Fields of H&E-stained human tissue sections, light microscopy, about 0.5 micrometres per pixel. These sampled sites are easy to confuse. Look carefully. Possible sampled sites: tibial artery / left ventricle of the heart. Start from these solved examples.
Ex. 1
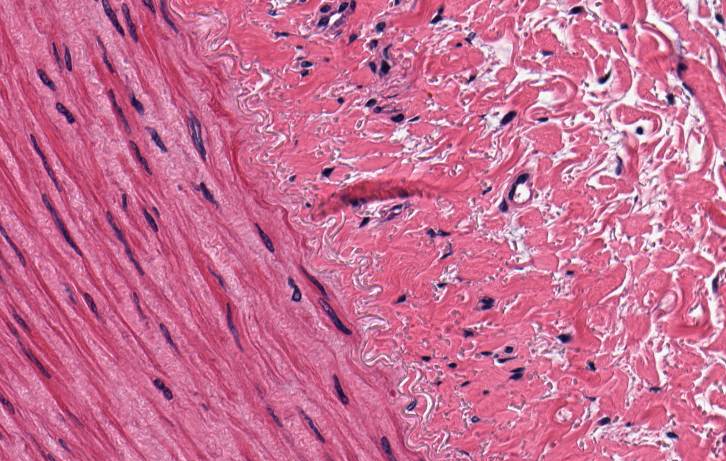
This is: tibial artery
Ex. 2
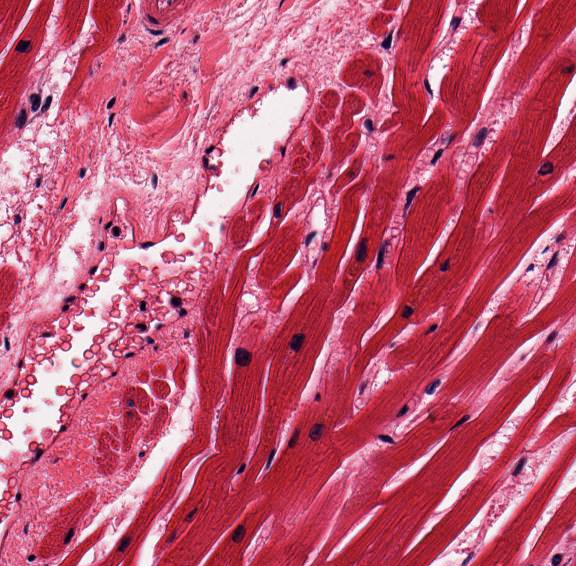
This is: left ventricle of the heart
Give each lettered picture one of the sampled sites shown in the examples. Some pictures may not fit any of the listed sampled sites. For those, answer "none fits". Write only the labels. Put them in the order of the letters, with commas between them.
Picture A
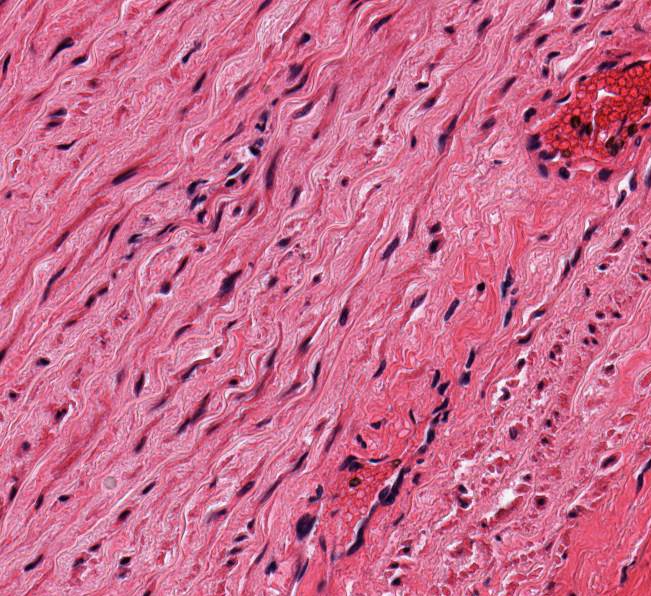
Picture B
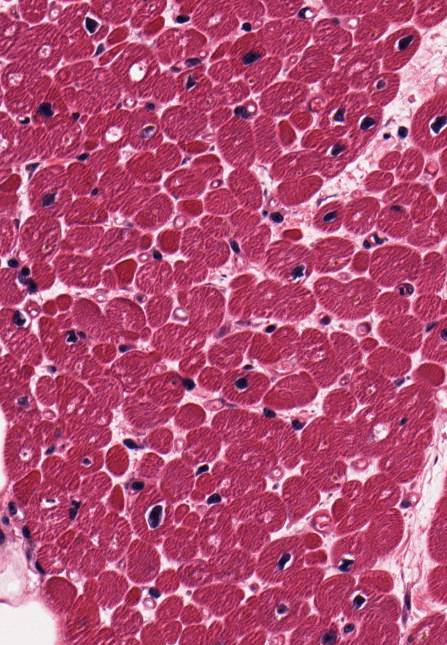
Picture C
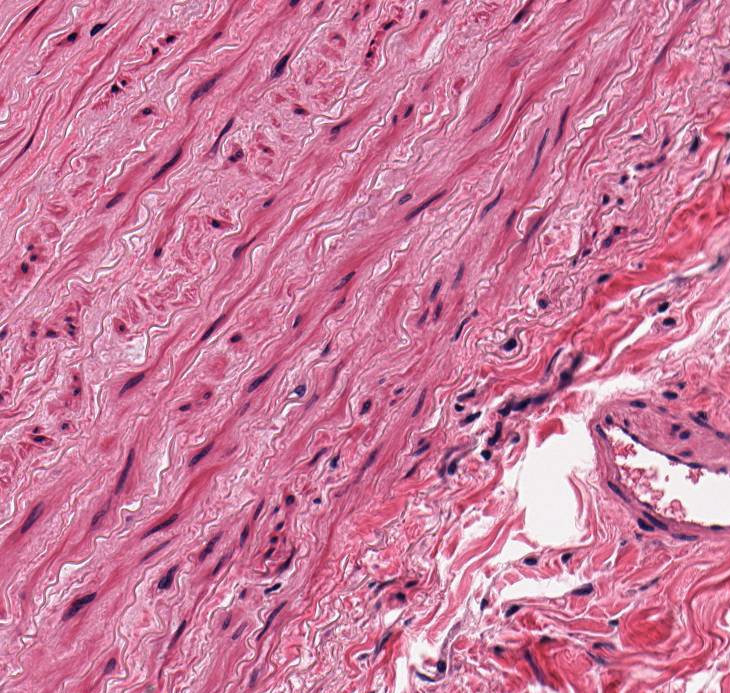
none fits, left ventricle of the heart, none fits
